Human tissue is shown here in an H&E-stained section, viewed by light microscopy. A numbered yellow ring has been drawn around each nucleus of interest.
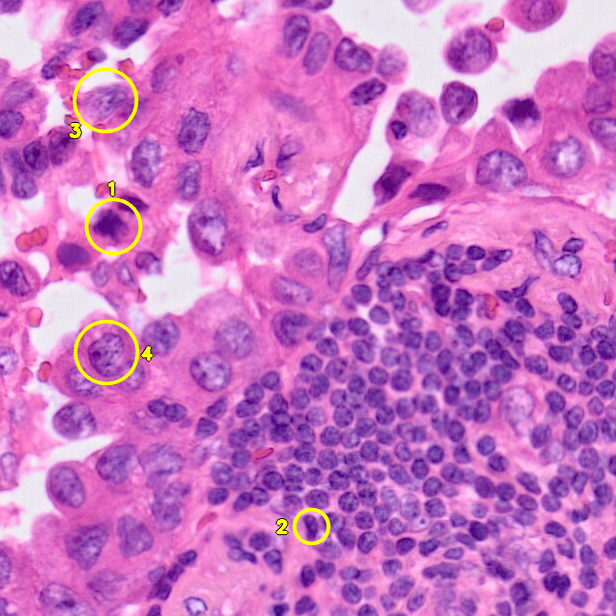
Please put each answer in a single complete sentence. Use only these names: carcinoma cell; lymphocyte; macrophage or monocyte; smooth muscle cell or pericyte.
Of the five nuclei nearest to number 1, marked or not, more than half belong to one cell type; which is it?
Of the five nuclei nearest to number 1, most belong to macrophages or monocytes.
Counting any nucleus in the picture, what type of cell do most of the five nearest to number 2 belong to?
Lymphocytes account for more than half of the five nuclei nearest to number 2.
